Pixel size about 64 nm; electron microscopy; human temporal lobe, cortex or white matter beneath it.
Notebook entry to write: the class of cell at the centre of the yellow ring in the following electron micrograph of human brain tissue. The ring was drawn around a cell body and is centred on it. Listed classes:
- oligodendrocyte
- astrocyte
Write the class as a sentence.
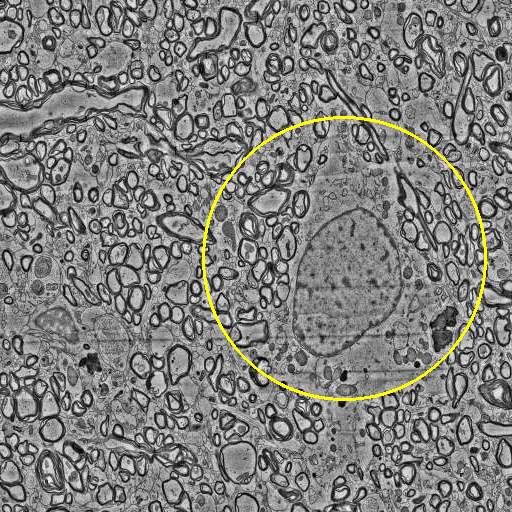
The yellow ring sits on an astrocyte.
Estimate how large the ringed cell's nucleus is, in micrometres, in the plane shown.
The nucleus appears roughly 10 by 7 micrometres in this plane.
